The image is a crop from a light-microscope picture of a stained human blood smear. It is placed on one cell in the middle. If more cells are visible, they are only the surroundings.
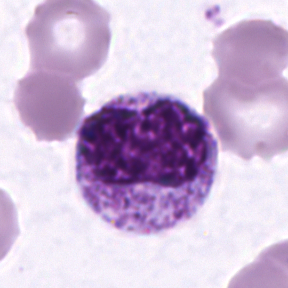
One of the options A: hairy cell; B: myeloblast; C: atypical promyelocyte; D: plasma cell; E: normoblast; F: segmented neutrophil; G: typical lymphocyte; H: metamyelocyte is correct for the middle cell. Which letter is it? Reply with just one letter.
H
